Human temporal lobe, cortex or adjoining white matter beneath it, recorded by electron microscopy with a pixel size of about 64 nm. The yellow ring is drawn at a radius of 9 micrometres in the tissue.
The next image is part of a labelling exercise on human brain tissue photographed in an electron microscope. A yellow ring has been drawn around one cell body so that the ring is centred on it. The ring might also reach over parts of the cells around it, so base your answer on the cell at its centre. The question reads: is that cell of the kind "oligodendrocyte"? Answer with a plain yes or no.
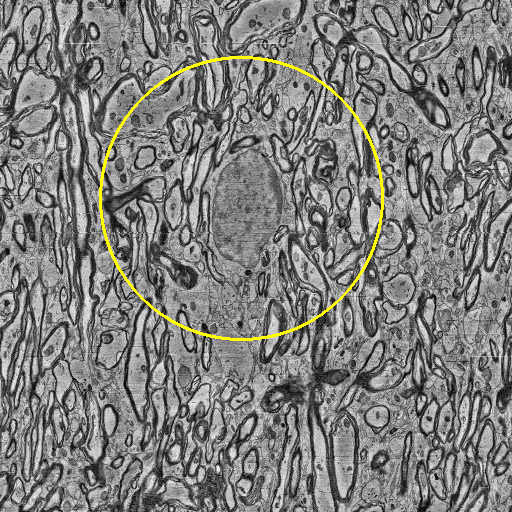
yes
